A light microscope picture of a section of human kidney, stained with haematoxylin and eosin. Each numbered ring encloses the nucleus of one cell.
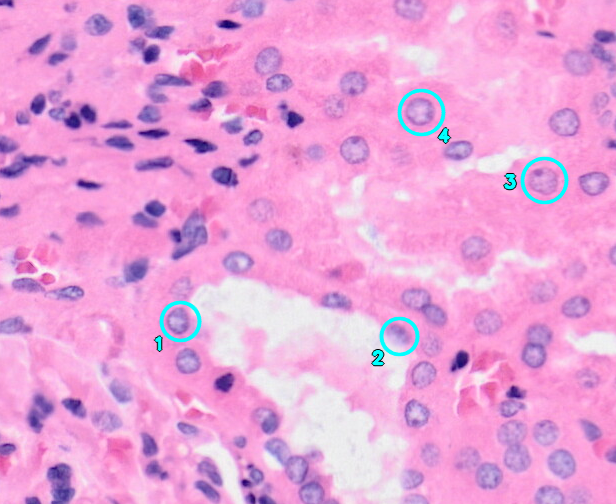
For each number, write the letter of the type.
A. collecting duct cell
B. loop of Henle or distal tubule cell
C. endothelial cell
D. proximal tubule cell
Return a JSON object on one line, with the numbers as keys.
{"1": "B", "2": "B", "3": "D", "4": "D"}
